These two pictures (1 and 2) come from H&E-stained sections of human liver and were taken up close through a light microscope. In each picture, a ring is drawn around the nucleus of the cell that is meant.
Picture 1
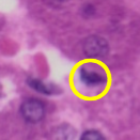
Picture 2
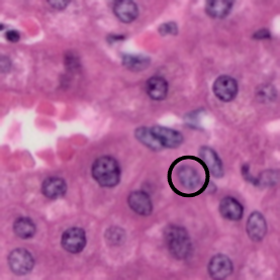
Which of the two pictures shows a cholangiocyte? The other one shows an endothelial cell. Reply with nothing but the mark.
2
